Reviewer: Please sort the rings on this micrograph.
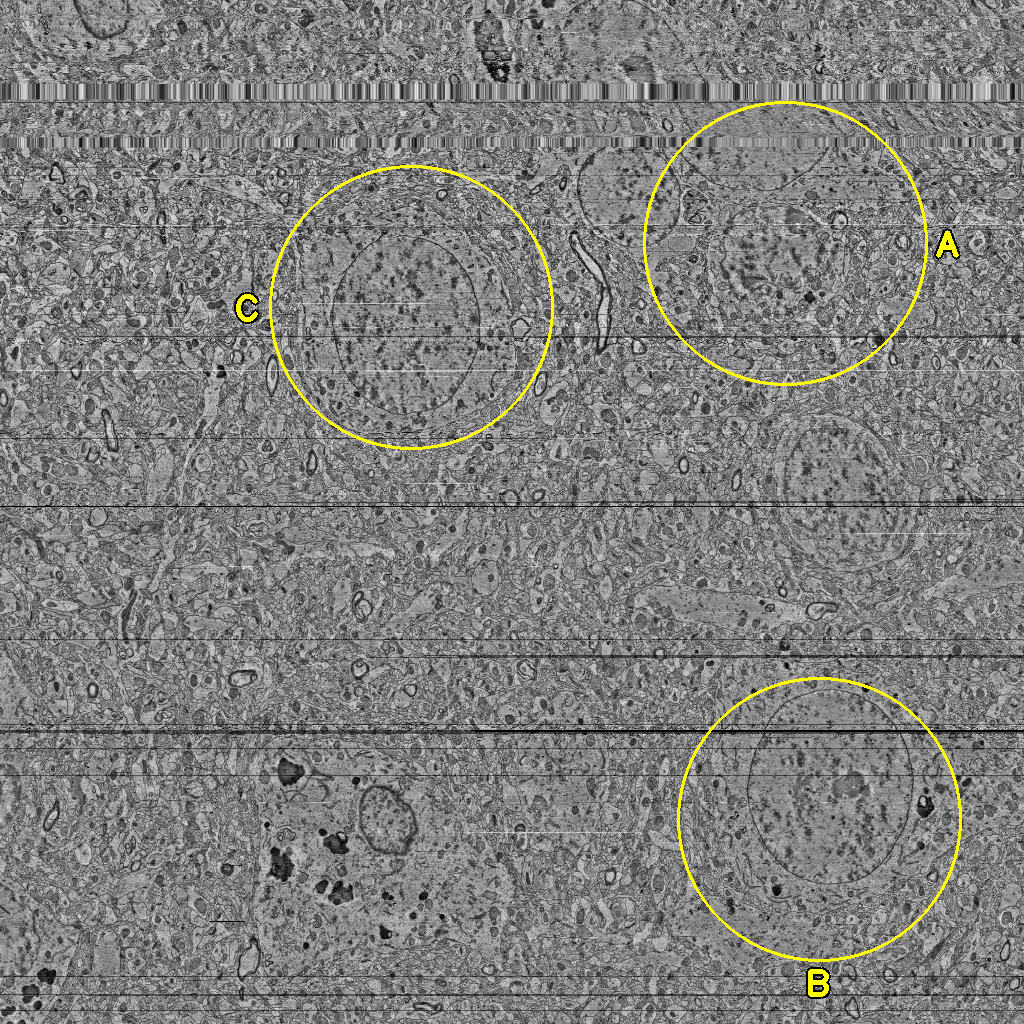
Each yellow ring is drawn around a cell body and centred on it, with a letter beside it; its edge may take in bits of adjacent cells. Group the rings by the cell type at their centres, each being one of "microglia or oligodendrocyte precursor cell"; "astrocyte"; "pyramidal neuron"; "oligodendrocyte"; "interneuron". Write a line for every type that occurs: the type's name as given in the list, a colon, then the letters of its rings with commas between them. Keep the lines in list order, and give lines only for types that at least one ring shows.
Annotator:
pyramidal neuron: B, C
interneuron: A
